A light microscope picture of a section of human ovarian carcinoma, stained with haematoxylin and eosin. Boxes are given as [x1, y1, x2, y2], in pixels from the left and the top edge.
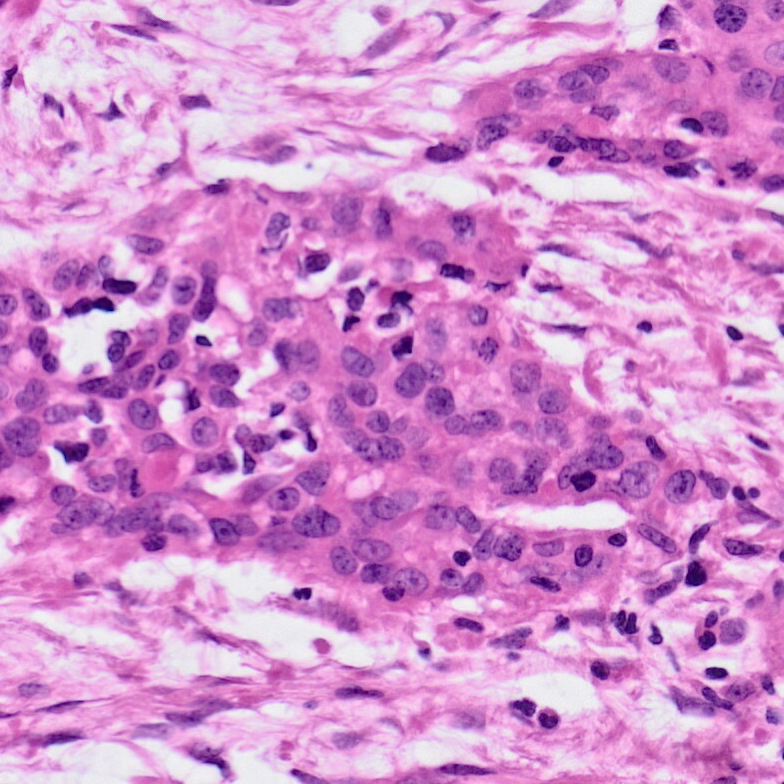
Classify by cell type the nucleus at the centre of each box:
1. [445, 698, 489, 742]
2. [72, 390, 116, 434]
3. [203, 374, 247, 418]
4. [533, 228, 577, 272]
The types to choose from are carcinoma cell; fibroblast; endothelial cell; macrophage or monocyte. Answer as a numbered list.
1. fibroblast
2. carcinoma cell
3. carcinoma cell
4. fibroblast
